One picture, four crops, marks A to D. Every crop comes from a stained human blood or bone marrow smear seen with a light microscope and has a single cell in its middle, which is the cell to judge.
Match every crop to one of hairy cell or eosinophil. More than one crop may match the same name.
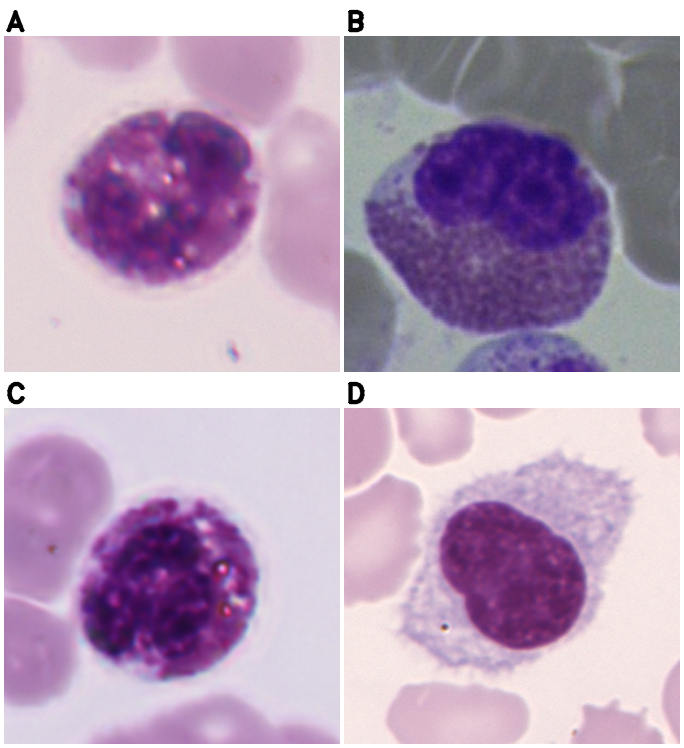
A: eosinophil
B: eosinophil
C: eosinophil
D: hairy cell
